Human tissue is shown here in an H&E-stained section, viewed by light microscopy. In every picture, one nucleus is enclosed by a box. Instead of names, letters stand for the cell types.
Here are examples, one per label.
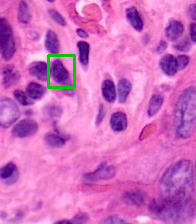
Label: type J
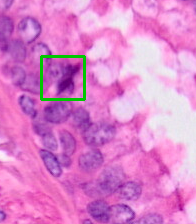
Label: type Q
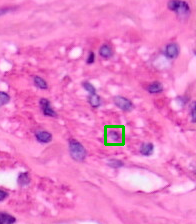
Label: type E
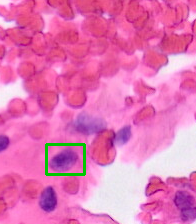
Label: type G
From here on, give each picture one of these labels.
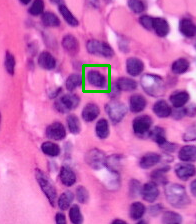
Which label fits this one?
type J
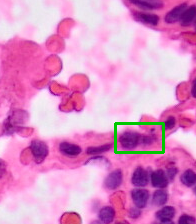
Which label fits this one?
type G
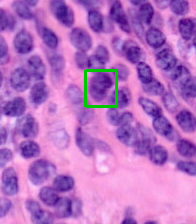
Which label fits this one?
type J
